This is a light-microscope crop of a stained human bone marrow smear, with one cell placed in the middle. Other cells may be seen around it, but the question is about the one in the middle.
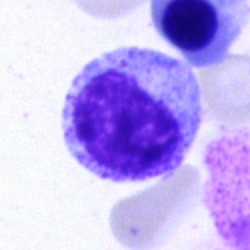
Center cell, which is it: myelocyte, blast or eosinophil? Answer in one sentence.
As for the central cell, it is a myelocyte.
